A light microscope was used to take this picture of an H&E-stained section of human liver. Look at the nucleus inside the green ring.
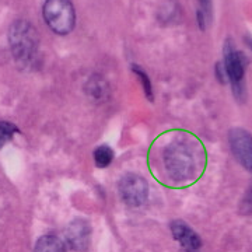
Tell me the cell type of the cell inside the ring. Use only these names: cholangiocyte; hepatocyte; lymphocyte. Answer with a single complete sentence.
In short, the cell inside the ring on this section is a hepatocyte.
